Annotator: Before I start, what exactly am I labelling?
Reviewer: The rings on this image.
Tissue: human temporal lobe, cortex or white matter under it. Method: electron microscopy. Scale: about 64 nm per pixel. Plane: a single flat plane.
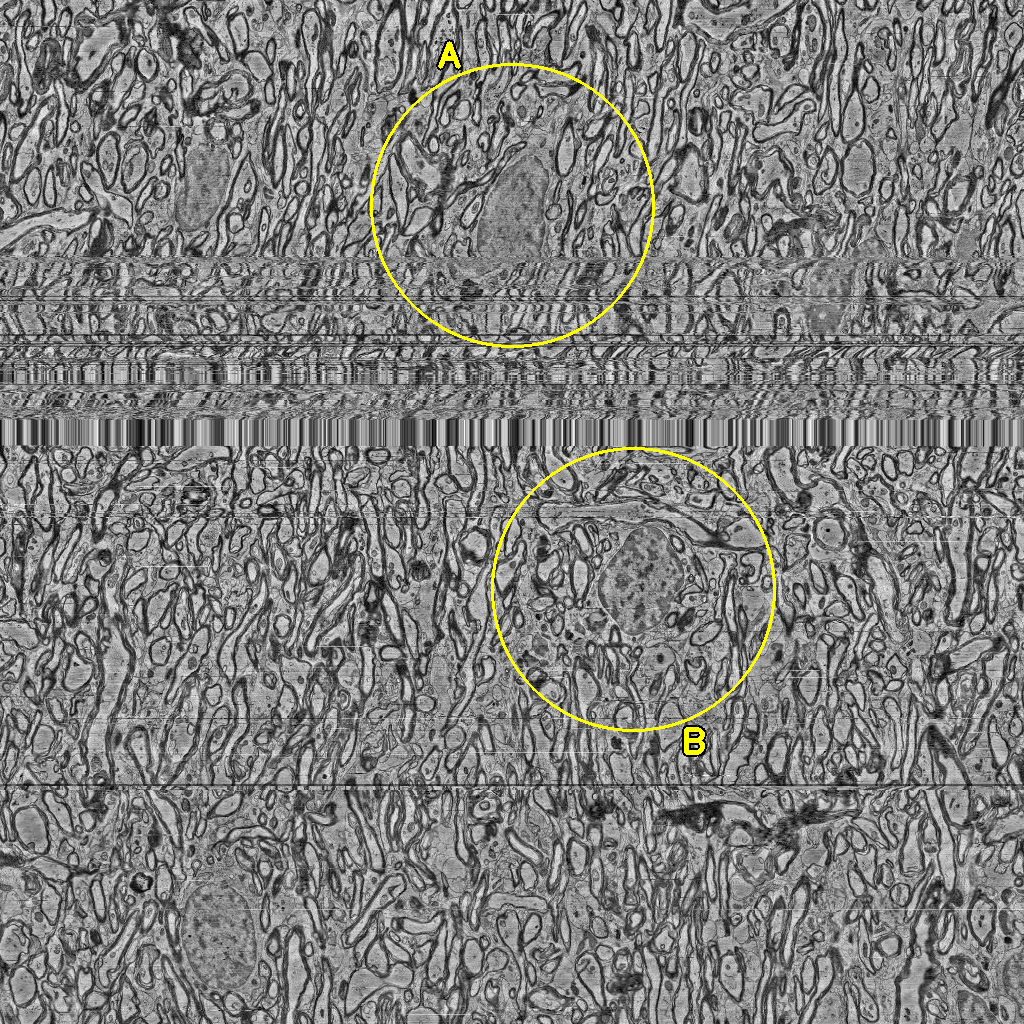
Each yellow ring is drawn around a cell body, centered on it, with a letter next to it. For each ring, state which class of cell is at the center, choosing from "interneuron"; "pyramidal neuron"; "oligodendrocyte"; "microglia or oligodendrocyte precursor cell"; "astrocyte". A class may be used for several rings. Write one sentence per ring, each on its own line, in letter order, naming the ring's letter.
At the center of ring A we have an oligodendrocyte.
At the center of ring B we have a microglial cell or oligodendrocyte precursor cell.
